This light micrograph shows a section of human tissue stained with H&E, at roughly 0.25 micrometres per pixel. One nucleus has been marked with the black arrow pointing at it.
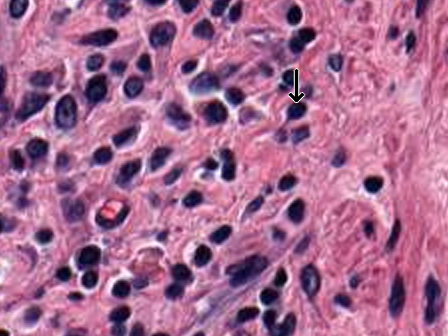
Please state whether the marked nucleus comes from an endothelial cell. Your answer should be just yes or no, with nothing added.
no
